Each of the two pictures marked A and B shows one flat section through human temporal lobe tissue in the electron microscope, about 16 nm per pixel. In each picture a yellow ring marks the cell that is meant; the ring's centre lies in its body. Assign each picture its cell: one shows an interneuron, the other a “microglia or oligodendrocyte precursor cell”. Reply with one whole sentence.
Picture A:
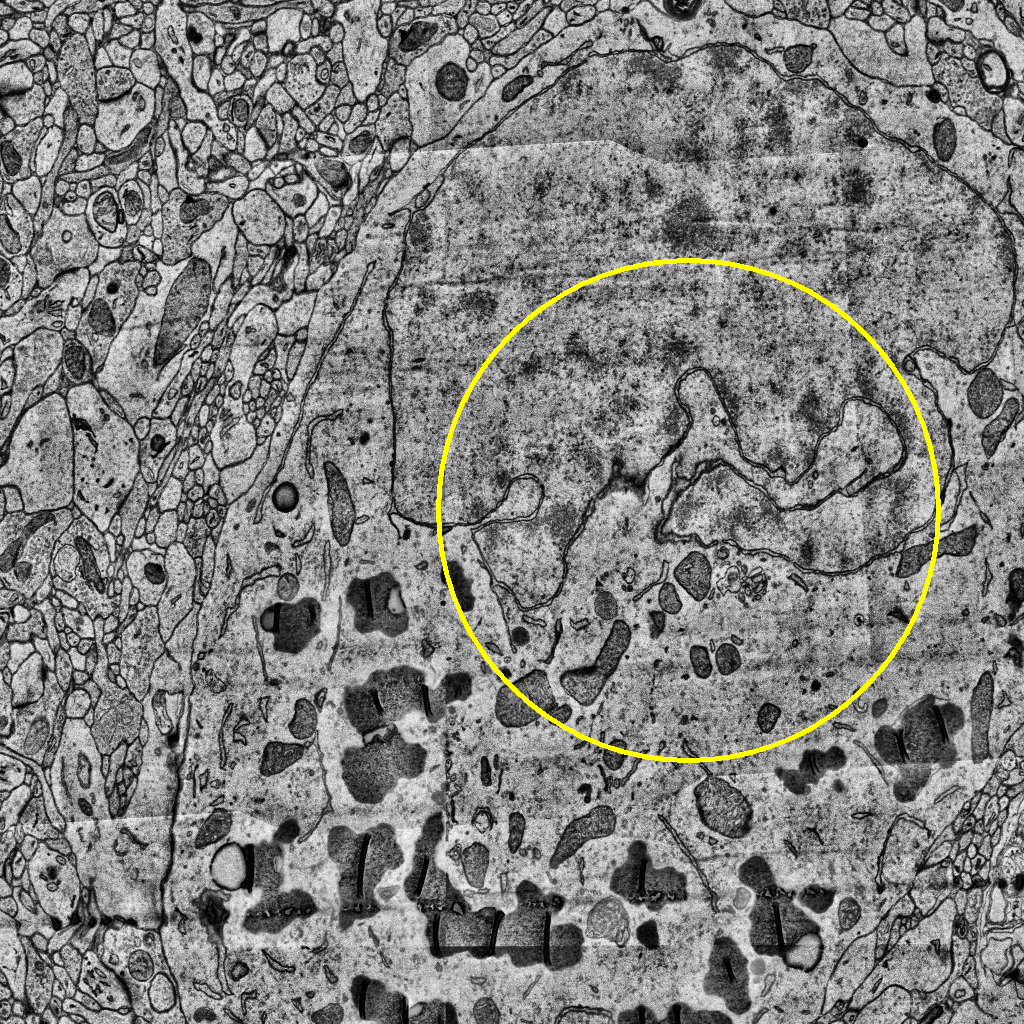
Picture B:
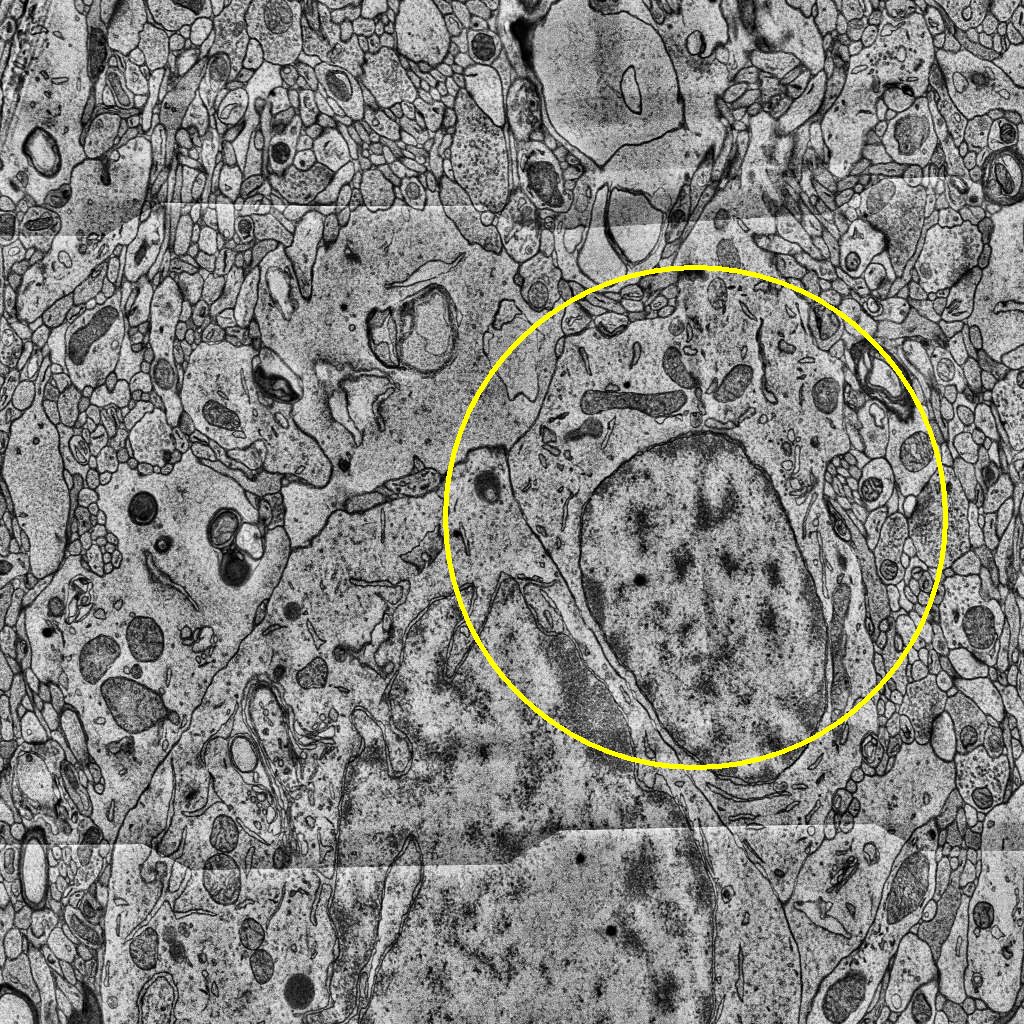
In picture A the cell is an interneuron; in picture B, a “microglia or oligodendrocyte precursor cell”.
